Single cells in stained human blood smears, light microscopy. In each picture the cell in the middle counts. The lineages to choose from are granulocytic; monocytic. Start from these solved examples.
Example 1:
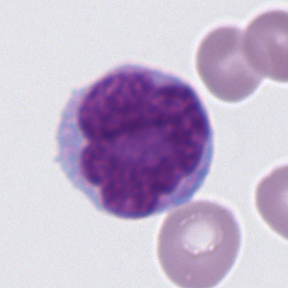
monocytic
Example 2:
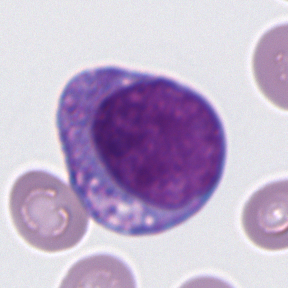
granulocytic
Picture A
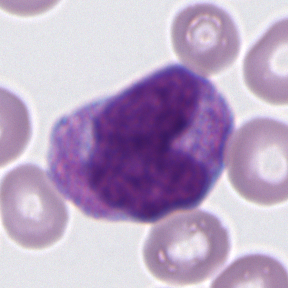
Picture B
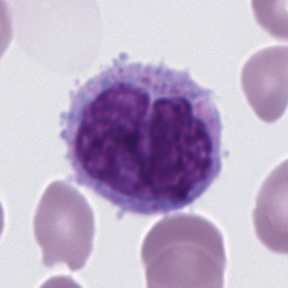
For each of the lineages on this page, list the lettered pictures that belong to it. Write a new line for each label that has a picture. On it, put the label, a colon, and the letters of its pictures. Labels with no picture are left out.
granulocytic: A
monocytic: B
